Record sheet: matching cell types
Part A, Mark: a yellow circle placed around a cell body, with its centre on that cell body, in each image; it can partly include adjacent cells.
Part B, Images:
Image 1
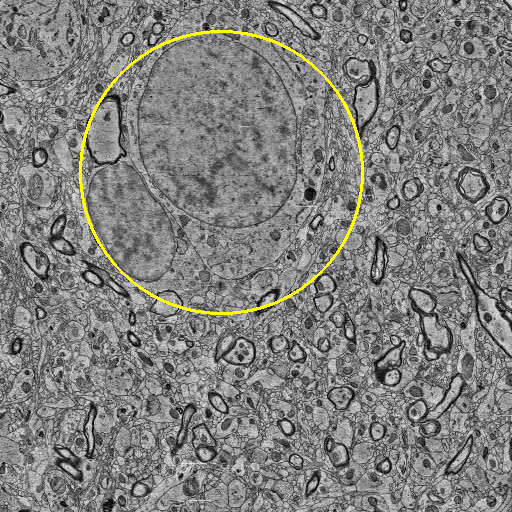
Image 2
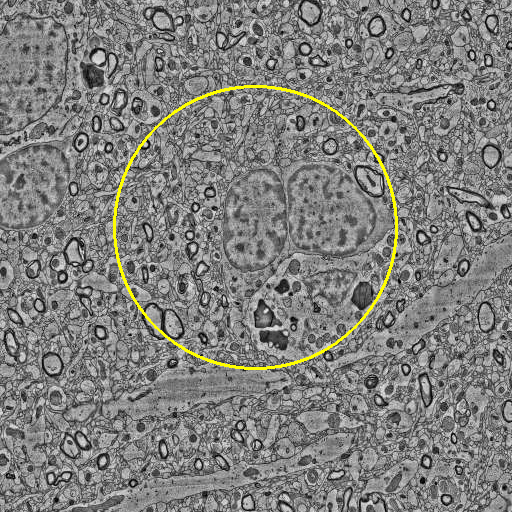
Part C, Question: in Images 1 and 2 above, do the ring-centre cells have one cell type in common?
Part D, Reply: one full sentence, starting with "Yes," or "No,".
No, the ring-centre cells of Image 1 and Image 2 are each of a separate cell type.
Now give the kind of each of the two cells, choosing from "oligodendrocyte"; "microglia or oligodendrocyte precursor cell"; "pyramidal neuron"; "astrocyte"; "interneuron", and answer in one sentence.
The cell in the first picture is a pyramidal neuron, and the cell in the second is an oligodendrocyte.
